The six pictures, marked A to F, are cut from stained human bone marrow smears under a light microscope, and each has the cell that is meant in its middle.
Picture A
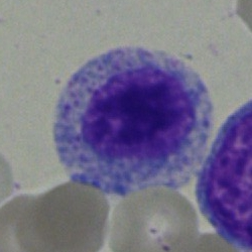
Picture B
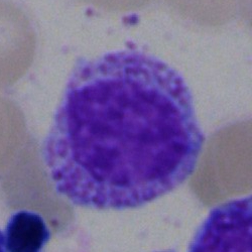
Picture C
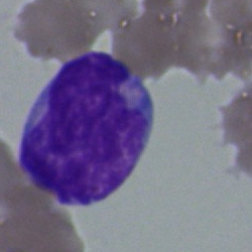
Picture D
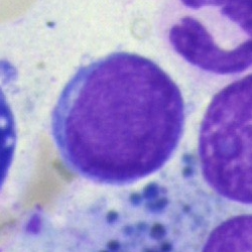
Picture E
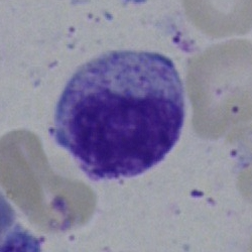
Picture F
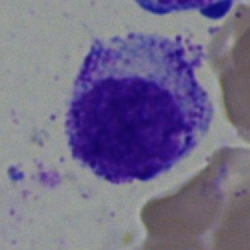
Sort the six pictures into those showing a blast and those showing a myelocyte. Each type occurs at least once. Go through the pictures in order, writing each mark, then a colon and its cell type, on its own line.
A: myelocyte
B: myelocyte
C: blast
D: blast
E: myelocyte
F: myelocyte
